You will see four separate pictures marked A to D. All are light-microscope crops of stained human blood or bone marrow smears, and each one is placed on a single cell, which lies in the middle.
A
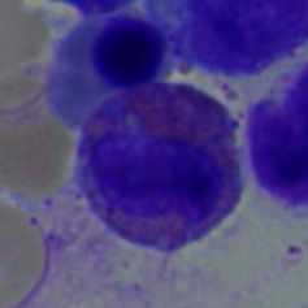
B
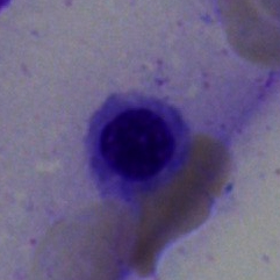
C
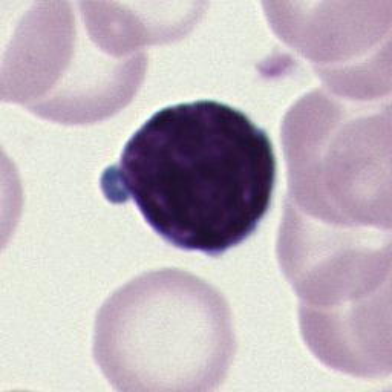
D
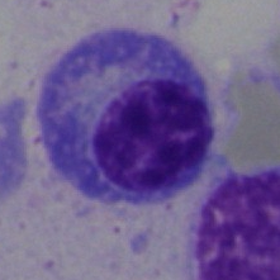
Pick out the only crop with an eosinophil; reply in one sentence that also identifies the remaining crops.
Crop A carries an eosinophil in its middle, whereas crop B is an erythroblast, crop C is a lymphocyte and crop D is a plasma cell.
